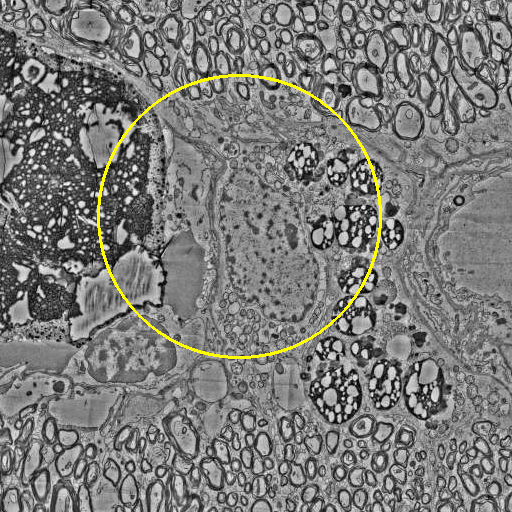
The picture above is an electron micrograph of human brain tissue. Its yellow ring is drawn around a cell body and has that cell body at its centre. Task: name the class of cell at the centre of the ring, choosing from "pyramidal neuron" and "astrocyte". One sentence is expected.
The ring surrounds the body of an astrocyte.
